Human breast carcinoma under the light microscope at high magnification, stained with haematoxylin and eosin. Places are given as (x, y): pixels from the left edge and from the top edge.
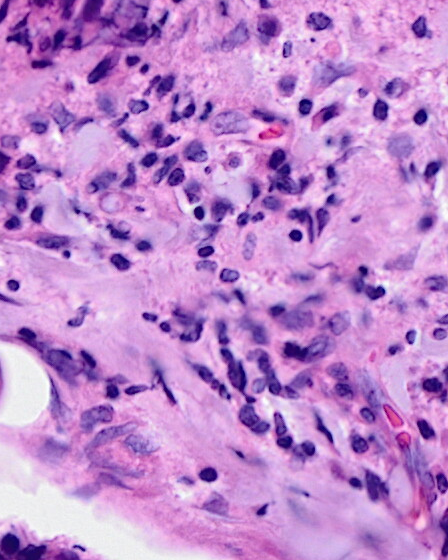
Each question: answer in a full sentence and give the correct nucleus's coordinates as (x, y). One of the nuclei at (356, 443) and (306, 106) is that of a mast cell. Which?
Among the two nuclei, the one found at (356, 443) belongs to a mast cell.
